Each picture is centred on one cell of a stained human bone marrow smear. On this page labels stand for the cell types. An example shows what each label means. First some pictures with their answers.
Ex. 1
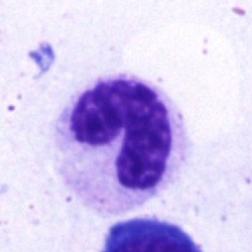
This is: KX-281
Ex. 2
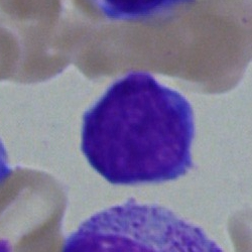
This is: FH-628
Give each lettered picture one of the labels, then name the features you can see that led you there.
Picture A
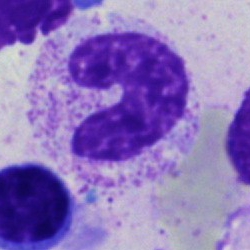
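KX-281. Reason: The cytoplasm is abundant and pale pinkish-lilac.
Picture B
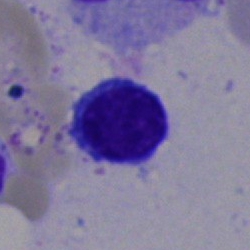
FH-628. Reason: The nucleus fills almost the whole cell.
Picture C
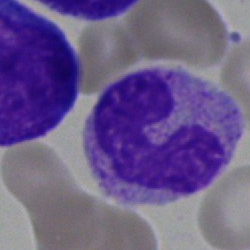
KX-281. Reason: The nucleus is curved into a C shape with a deep indentation.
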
